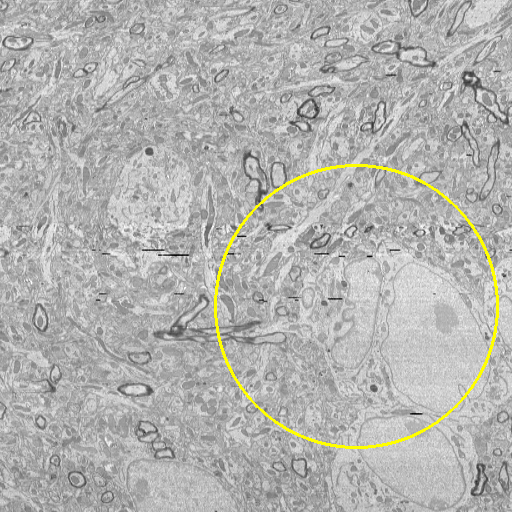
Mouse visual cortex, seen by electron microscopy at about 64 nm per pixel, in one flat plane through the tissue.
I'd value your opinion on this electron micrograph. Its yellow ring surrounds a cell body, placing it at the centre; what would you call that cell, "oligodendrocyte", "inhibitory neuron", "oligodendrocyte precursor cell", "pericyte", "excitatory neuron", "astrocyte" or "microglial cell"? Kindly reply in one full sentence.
It is an oligodendrocyte precursor cell that sits centred within the yellow ring in this micrograph.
